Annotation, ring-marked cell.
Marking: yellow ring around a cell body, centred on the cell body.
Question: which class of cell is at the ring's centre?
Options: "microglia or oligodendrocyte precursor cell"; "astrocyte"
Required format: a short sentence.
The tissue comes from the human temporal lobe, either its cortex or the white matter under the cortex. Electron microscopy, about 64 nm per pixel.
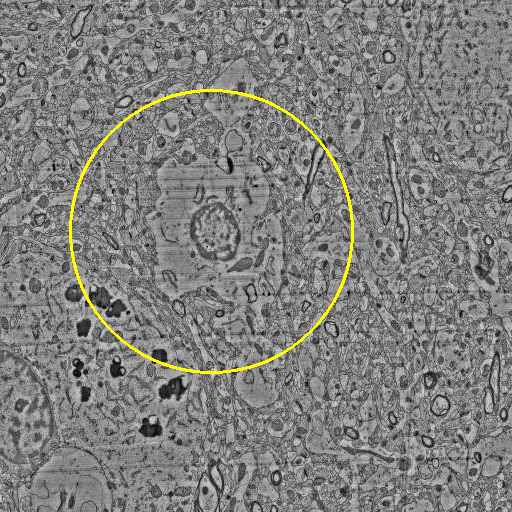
At the ring's centre is an astrocyte.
